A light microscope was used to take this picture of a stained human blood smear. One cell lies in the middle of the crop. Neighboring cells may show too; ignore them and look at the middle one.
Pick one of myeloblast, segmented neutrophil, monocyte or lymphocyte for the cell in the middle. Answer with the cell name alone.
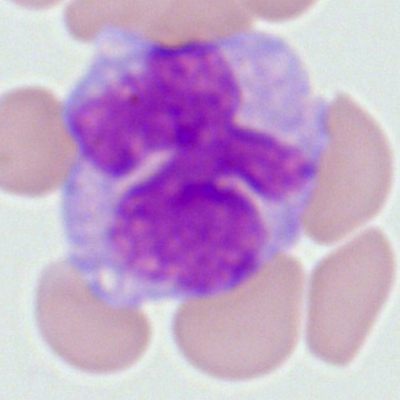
monocyte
